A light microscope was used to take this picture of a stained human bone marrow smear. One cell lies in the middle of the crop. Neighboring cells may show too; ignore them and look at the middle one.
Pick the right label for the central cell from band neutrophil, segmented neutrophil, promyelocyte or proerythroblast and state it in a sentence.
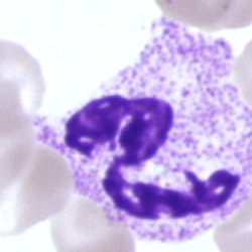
As for the cell in the middle, it is a segmented neutrophil.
